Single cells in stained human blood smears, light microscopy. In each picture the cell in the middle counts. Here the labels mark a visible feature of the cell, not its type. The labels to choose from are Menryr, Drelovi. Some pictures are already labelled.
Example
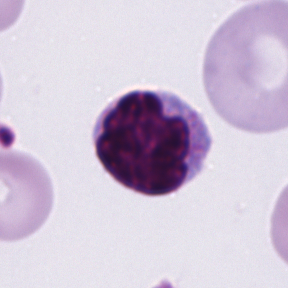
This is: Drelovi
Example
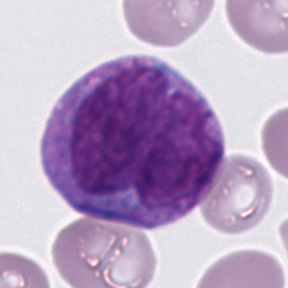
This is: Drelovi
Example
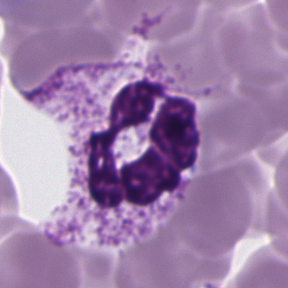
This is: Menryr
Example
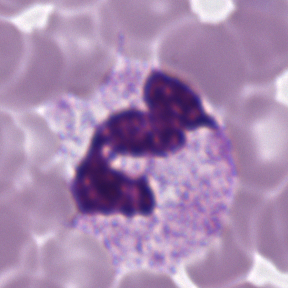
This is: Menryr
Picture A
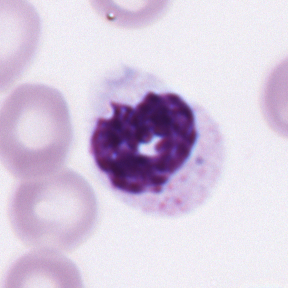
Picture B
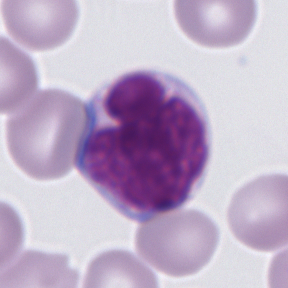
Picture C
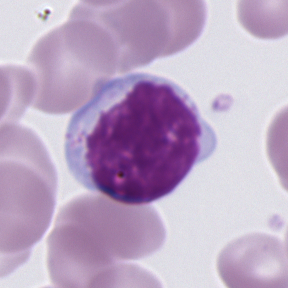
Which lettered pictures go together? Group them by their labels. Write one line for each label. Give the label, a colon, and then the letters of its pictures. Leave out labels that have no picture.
Menryr: A, C
Drelovi: B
